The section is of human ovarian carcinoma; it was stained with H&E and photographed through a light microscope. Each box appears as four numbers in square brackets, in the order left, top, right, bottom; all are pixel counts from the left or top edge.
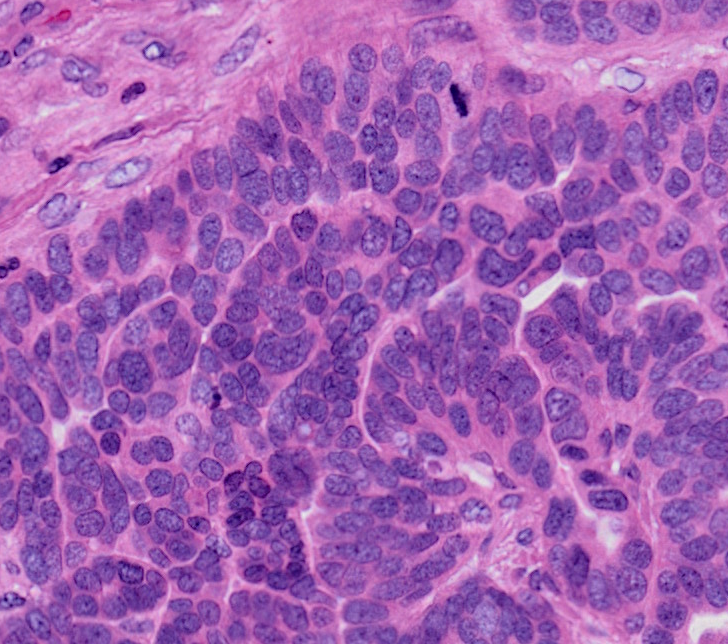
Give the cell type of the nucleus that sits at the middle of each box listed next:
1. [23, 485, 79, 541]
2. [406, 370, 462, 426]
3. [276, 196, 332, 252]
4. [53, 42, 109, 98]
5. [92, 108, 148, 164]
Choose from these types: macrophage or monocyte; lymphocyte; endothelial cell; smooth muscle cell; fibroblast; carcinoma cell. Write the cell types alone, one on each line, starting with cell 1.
carcinoma cell
carcinoma cell
carcinoma cell
fibroblast
fibroblast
